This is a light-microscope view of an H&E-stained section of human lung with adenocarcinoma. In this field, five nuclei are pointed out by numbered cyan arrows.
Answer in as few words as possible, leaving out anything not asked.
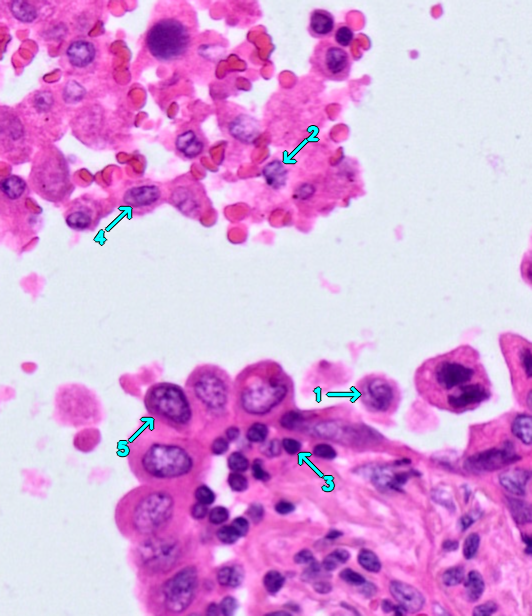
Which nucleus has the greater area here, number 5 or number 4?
5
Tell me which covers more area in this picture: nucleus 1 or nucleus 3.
1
